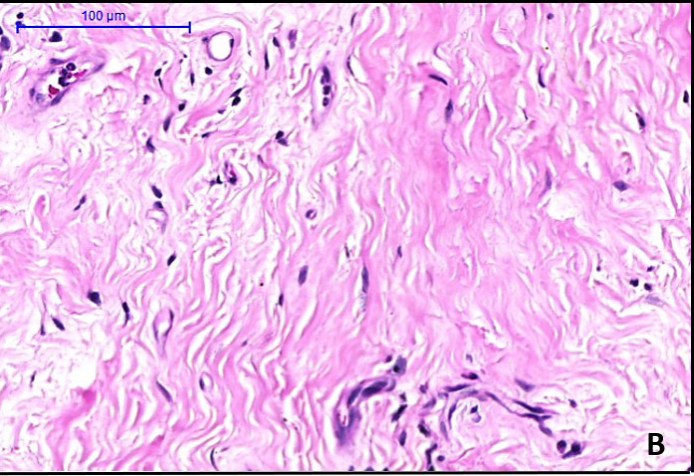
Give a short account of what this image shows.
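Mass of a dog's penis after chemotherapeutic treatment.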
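This is loose-to-dense connective tissue made of sparse fibroblasts scattered through an abundant extracellular matrix of collagenous fibers. The fibers are pale pink, wavy and run in loose bundles that fill most of the field. The fibroblast nuclei are dark purple, elongated or spindle-shaped, and lie singly and far apart, with very little cytoplasm visible around them. A few small vessel-like profiles with clustered nuclei appear near the upper left and along the lower edge. Overall the tissue is poor in cells and rich in fibrous matrix.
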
